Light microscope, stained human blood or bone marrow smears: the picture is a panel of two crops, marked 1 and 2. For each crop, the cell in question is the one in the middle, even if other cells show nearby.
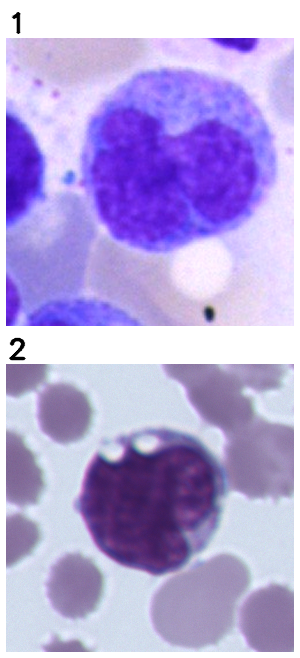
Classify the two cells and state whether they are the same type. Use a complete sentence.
Yes, both crops show monocytes in the centre of the field.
